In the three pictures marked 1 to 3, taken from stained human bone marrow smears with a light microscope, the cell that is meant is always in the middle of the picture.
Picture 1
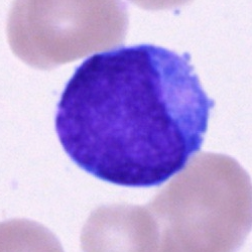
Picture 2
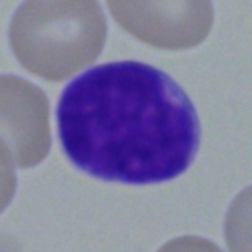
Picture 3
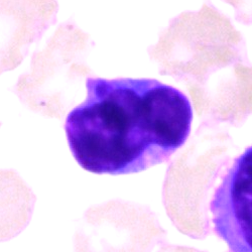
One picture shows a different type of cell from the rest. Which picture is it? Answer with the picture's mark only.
3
